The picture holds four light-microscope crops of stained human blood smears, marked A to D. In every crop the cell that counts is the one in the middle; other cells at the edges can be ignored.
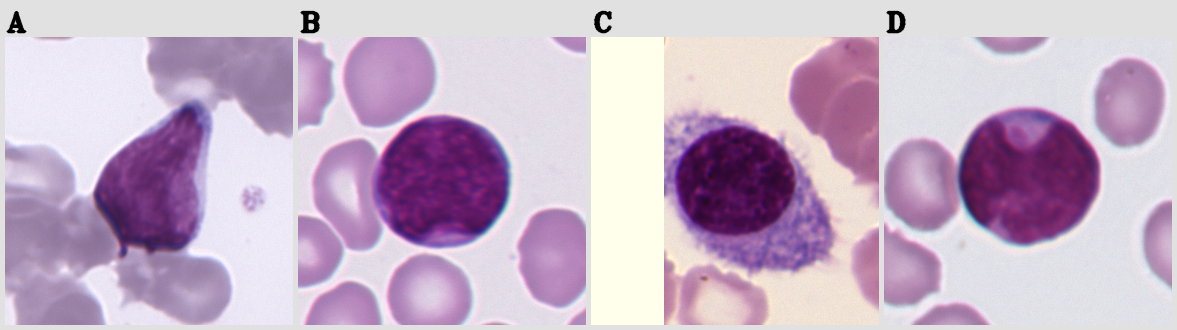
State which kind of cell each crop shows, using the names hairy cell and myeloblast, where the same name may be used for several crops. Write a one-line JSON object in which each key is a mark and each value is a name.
{"A": "myeloblast", "B": "myeloblast", "C": "hairy cell", "D": "myeloblast"}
